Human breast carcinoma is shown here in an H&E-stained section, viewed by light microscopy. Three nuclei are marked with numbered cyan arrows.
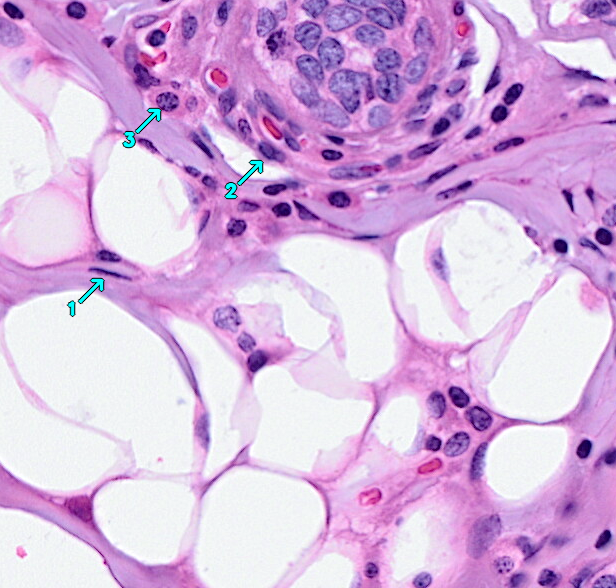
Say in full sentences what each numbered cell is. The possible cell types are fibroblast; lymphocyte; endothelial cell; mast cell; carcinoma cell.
Cell 1 is a fibroblast. Cell 2 is an endothelial cell. Cell 3 is a mast cell.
